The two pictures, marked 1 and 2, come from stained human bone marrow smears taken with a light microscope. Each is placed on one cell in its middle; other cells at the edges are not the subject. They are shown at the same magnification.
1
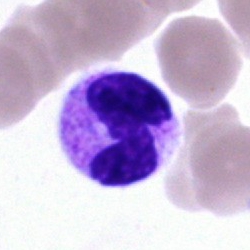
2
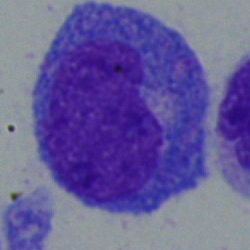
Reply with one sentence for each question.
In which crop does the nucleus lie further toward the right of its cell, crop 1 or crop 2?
It is the nucleus in crop 1 that lies further toward the right of its cell.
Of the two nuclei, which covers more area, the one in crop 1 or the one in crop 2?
It is the nucleus in crop 2, about 2.5 times as large in area as the one in crop 1.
